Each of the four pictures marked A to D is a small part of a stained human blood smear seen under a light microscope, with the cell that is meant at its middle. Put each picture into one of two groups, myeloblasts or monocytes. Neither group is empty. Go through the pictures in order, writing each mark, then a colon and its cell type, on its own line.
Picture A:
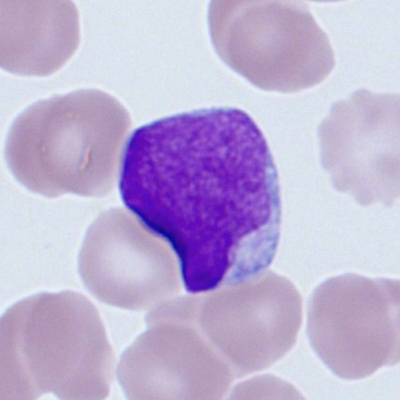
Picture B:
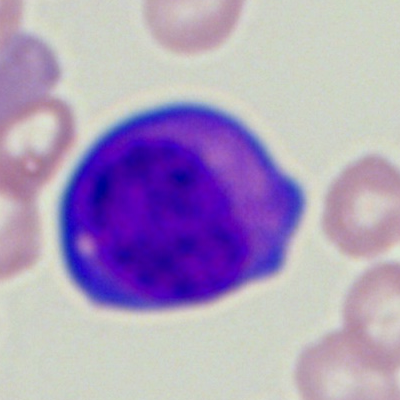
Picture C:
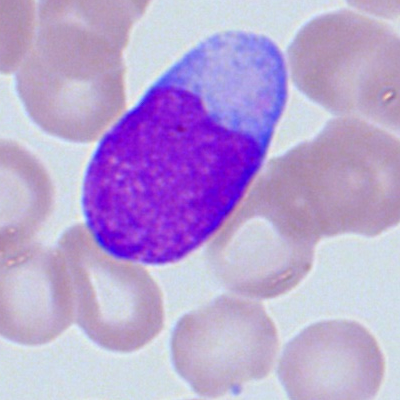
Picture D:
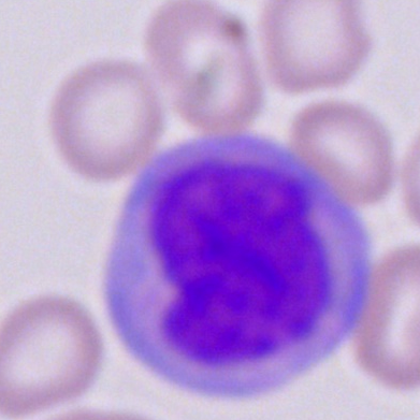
A: myeloblast
B: myeloblast
C: myeloblast
D: monocyte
